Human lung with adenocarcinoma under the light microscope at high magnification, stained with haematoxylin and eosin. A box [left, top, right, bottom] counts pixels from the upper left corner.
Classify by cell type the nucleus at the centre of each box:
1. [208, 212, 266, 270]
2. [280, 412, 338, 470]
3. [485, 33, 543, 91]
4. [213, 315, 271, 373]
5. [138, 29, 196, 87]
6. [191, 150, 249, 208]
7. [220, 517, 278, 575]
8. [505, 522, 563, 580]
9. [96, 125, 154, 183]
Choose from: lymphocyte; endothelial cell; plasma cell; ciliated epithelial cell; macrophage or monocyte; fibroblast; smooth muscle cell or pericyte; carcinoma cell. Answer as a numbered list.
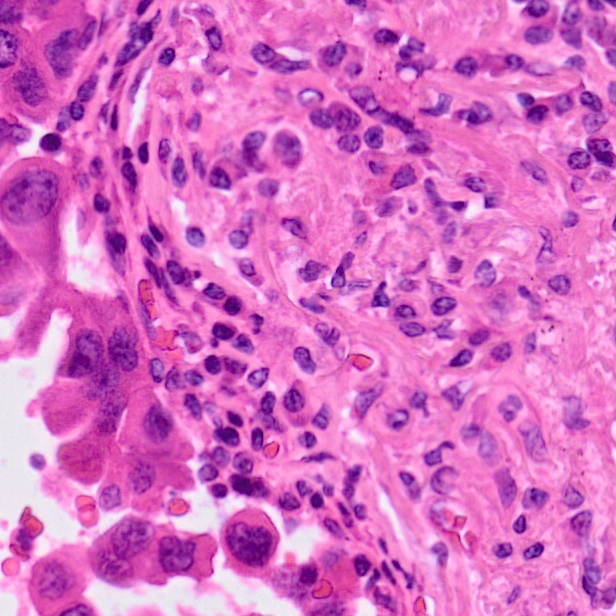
1. lymphocyte
2. lymphocyte
3. plasma cell
4. lymphocyte
5. lymphocyte
6. plasma cell
7. carcinoma cell
8. lymphocyte
9. plasma cell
